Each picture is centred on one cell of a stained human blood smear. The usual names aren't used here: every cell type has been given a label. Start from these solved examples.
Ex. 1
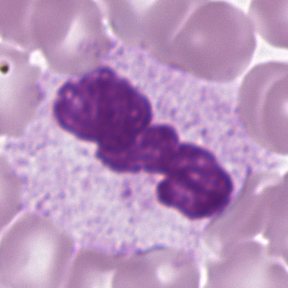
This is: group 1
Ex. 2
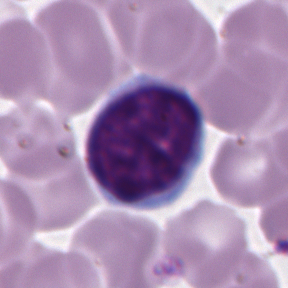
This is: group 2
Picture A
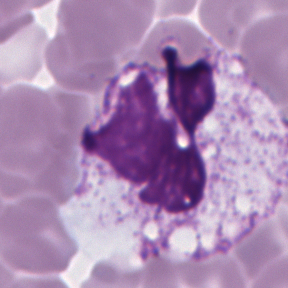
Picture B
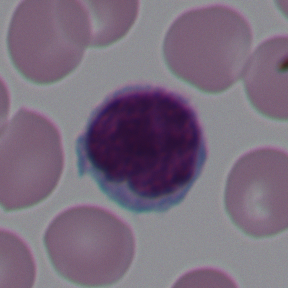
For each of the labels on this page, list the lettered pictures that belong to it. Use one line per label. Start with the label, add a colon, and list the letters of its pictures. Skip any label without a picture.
group 1: A
group 2: B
